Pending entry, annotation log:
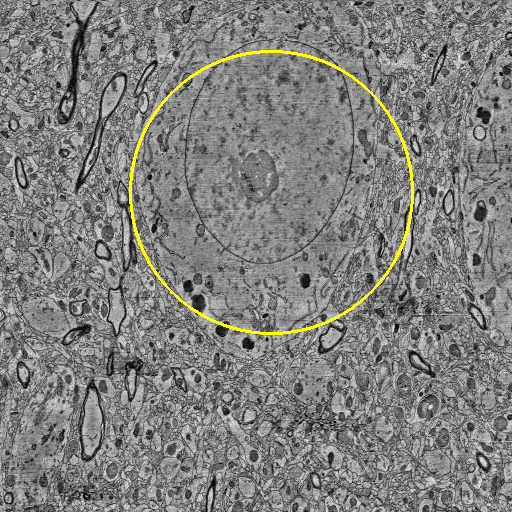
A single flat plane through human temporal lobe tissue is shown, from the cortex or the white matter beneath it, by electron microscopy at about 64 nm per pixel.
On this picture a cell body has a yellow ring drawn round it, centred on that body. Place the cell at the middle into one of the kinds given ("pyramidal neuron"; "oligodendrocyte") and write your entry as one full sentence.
The cell body at the middle of the yellow ring belongs to a pyramidal neuron.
